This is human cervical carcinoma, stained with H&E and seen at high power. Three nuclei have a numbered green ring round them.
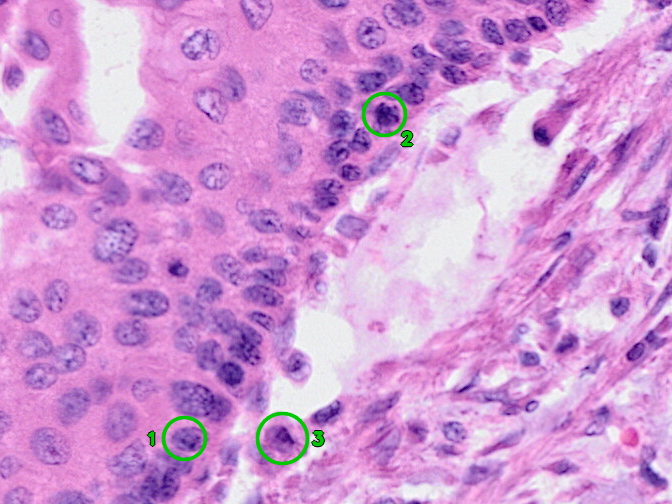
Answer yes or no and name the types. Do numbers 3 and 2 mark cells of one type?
No, cell 3 is a macrophage or monocyte, and cell 2 is a squamous carcinoma cell.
